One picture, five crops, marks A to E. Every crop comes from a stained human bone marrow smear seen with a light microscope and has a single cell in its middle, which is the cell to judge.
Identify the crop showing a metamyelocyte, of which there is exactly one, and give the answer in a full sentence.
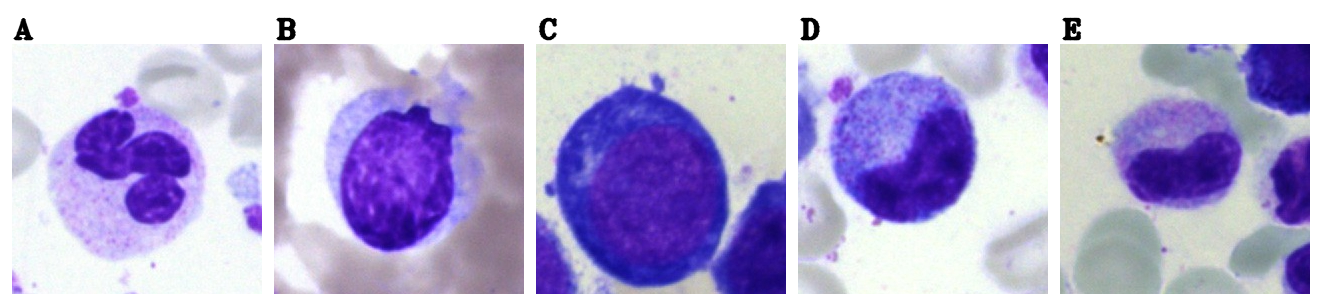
It is crop D that shows a metamyelocyte.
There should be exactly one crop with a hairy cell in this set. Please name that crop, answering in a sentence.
Among the crops, only crop B contains a hairy cell.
